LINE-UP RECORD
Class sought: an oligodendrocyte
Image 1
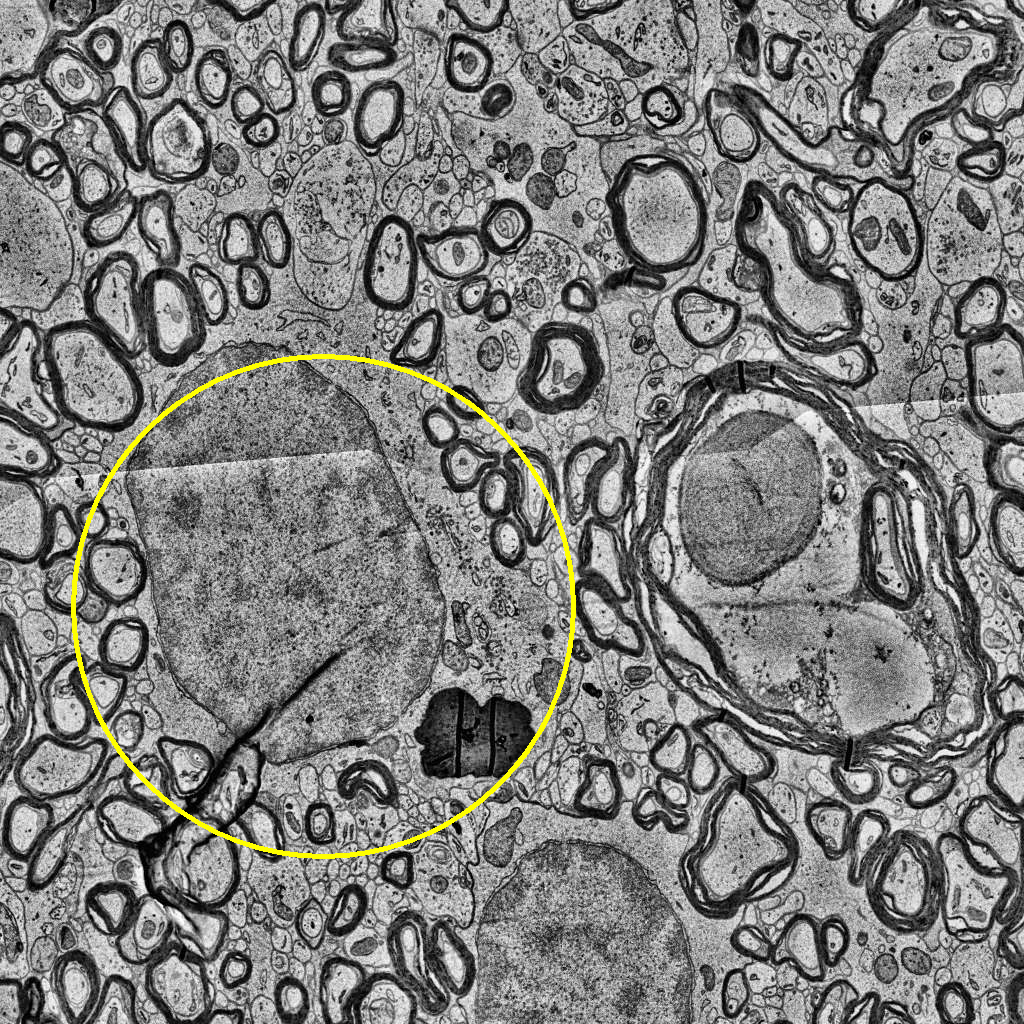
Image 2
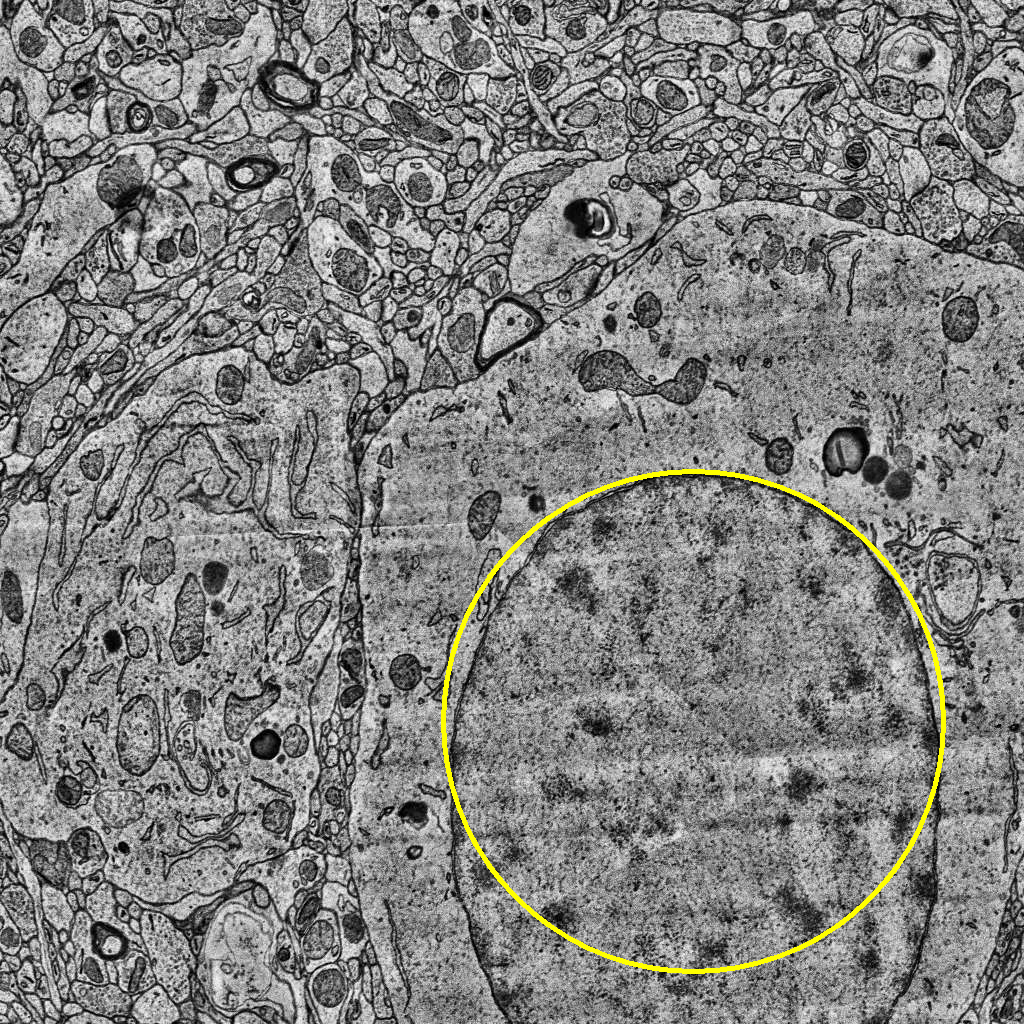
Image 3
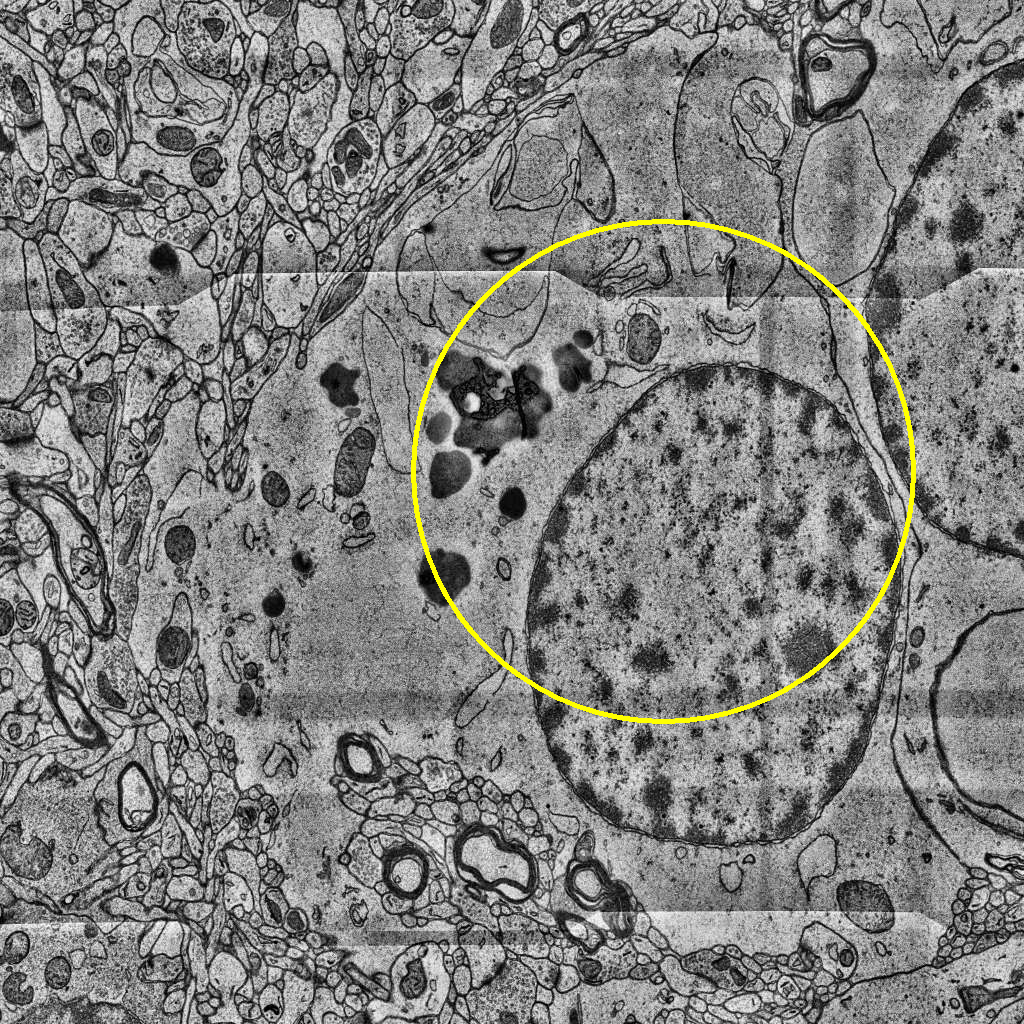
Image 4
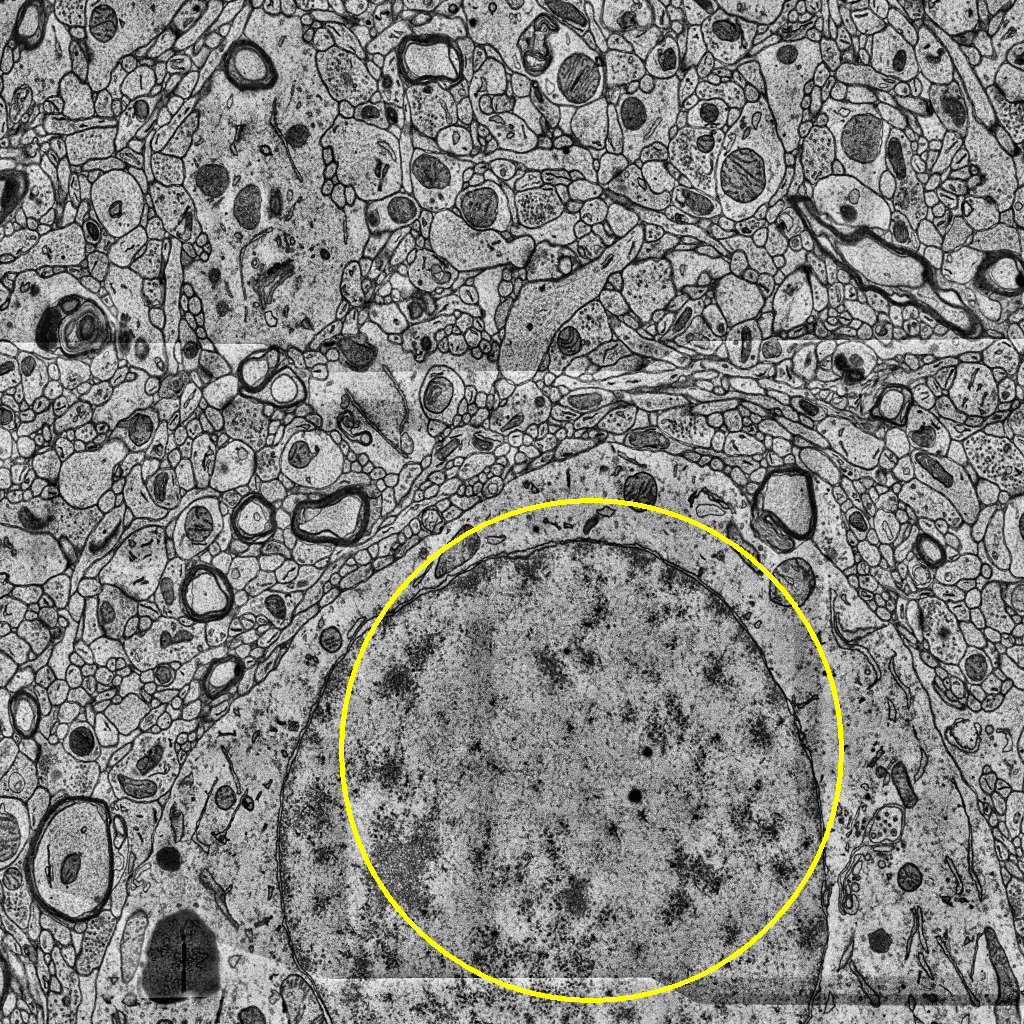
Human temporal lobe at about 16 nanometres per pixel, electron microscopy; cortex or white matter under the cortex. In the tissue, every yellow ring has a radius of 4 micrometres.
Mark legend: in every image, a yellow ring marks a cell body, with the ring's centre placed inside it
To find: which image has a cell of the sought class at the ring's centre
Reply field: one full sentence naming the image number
The cell lying at the ring's centre in image 1 belongs to the class sought.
